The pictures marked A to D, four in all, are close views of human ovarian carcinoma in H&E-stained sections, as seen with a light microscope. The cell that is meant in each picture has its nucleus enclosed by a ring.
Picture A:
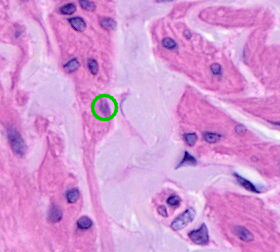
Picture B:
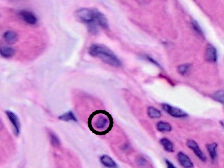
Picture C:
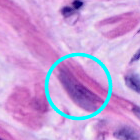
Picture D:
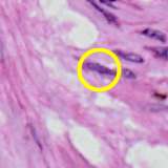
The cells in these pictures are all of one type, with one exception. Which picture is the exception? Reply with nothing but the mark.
D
